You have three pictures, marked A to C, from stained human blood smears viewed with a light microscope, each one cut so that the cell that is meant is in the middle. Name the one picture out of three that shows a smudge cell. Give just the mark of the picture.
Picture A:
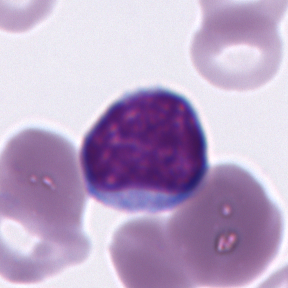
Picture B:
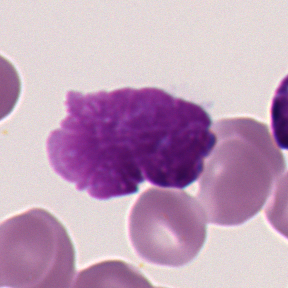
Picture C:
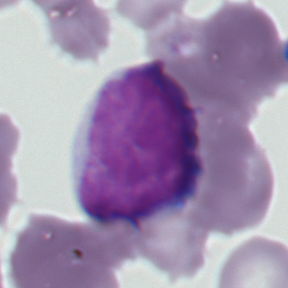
B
